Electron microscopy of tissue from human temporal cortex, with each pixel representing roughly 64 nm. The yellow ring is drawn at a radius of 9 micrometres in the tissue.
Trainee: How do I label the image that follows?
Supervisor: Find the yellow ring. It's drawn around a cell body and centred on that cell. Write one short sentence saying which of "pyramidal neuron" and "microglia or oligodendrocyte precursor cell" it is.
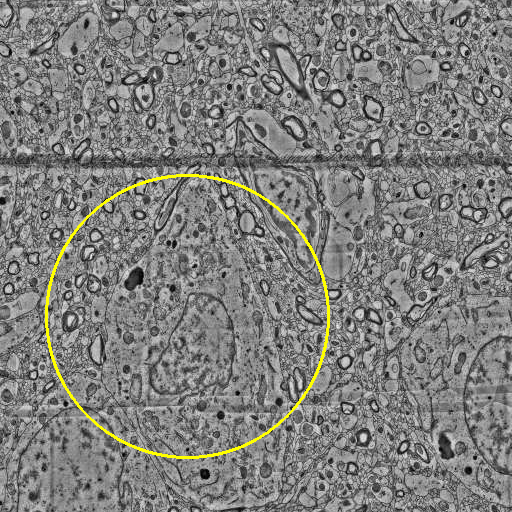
This is the cell body of a pyramidal neuron.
